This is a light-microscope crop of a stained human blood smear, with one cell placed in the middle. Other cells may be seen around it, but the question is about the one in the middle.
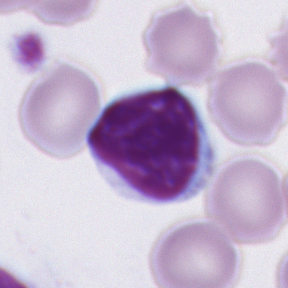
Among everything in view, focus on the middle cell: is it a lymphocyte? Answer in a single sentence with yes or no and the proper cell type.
Yes, the central element of the crop is a lymphocyte.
